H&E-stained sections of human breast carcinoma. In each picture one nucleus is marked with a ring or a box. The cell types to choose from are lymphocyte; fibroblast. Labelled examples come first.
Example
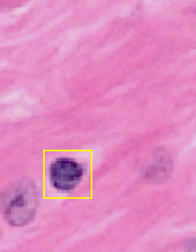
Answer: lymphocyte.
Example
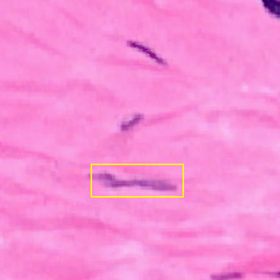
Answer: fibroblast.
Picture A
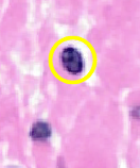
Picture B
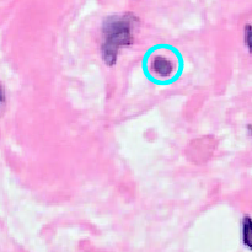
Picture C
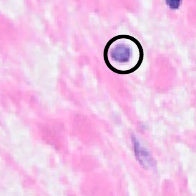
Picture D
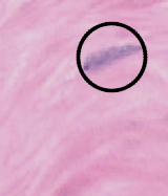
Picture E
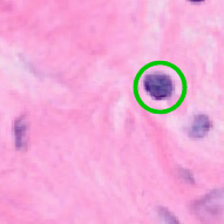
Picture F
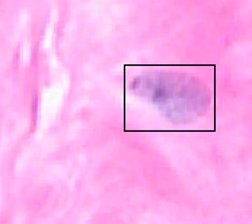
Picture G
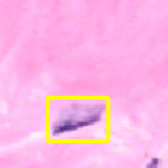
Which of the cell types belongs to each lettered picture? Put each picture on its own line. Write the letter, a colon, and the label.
A: lymphocyte.
B: lymphocyte.
C: lymphocyte.
D: fibroblast.
E: lymphocyte.
F: fibroblast.
G: fibroblast.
